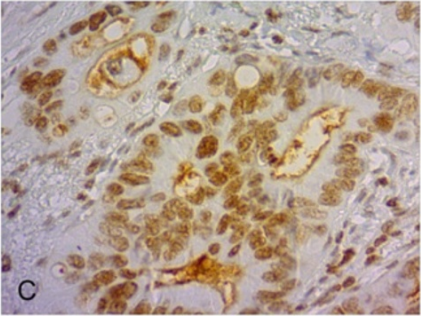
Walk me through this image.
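Tumor cells of glandular tissue are arranged in crowded rows around small lumina, set in a loose pale stroma. Their nuclei are oval to elongated, crowded and stained brown, while their cytoplasm is pale. Scattered spindle-shaped stromal cells between the glands also show brown nuclei.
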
